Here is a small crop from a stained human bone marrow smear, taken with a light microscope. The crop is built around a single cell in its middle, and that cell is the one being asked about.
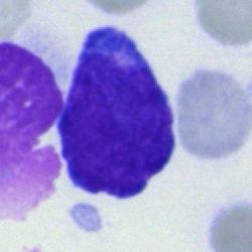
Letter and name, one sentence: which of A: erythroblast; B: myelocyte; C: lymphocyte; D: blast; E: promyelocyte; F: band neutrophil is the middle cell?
The cell at the centre, correctly named in option D, is a blast.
